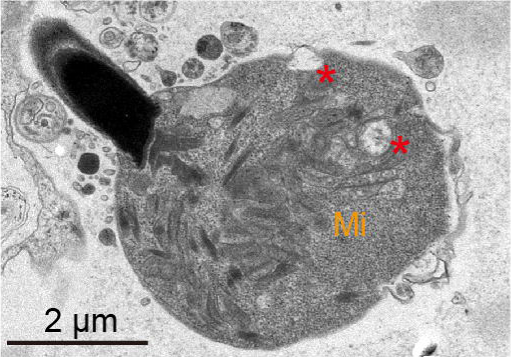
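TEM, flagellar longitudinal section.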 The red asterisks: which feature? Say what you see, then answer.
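Large vacuoles. These spaces lie inside a large rounded mass of cytoplasm beside a dark sperm head.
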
